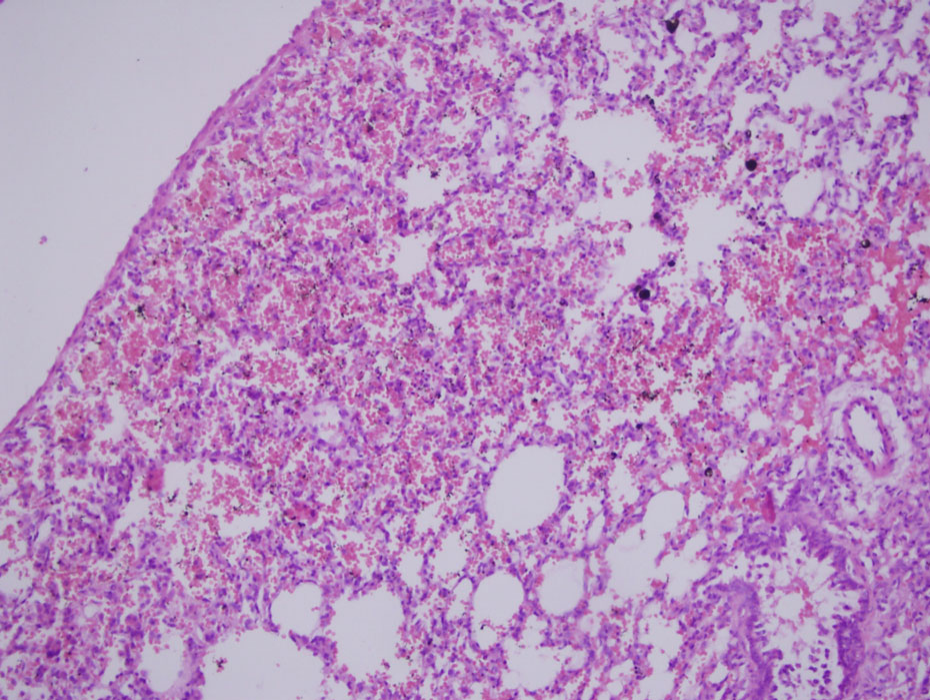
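This is lung parenchyma in which the alveolar spaces are widely filled with red blood cells, pink-red in this stain, showing intraalveolar hemorrhage, most marked beneath the smooth pleural surface at the upper left. Much of the tissue looks dense and crowded, the alveolar walls lying close together with their purple nuclei and the airspaces narrowed or lost, consistent with alveolar collapse. Only in the lower part and towards the right do some rounded, empty alveoli remain open. A small vessel with a thick wall lies at the right edge and an airway lined by epithelium at the lower right. Scattered black granules of pigment lie in the tissue.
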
